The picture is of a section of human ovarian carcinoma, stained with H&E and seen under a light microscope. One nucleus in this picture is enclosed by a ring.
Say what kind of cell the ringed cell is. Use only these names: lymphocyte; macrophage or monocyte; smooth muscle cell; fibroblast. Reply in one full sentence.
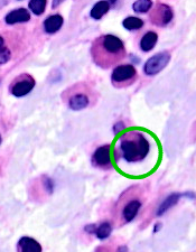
The ringed cell appears to be a lymphocyte.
